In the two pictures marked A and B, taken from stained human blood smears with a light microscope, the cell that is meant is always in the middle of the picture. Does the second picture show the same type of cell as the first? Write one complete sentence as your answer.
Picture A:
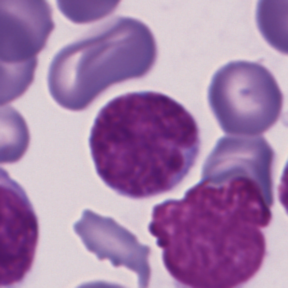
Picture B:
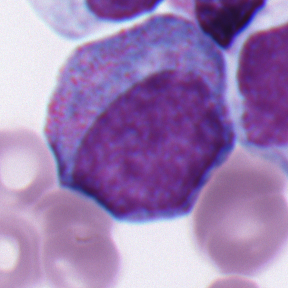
No. Picture A shows a myeloblast, but picture B shows a promyelocyte.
